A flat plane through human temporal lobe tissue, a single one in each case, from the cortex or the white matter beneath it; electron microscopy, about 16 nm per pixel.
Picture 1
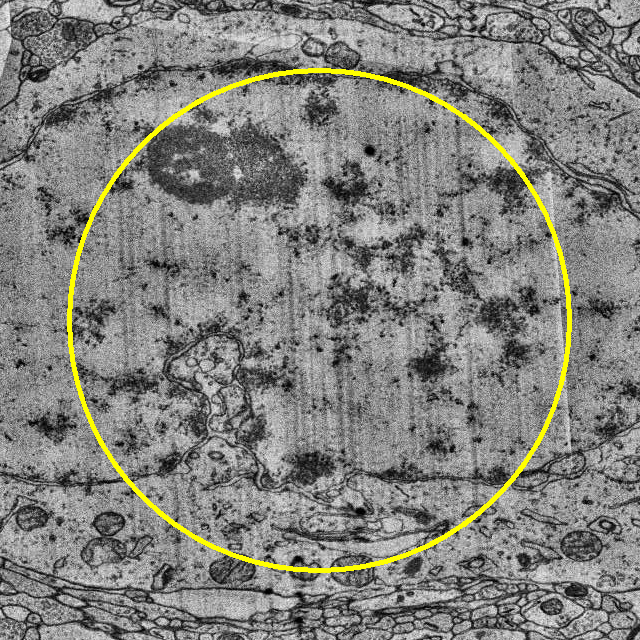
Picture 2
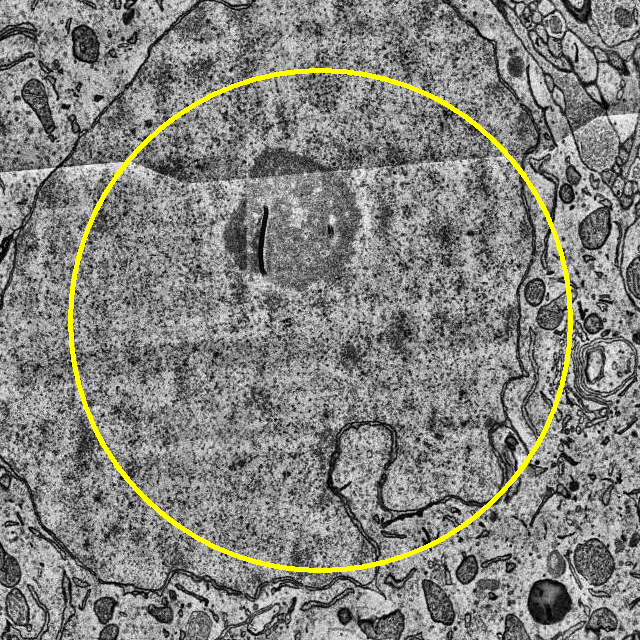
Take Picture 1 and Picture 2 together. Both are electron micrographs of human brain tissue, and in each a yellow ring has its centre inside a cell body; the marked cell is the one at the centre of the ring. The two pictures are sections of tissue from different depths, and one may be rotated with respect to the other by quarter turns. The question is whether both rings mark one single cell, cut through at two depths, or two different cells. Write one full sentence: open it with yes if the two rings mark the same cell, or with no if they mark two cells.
No, the rings do not mark the same cell.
